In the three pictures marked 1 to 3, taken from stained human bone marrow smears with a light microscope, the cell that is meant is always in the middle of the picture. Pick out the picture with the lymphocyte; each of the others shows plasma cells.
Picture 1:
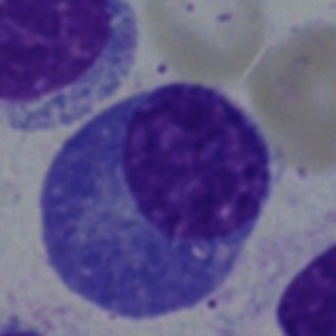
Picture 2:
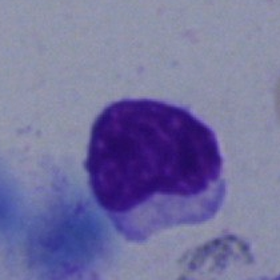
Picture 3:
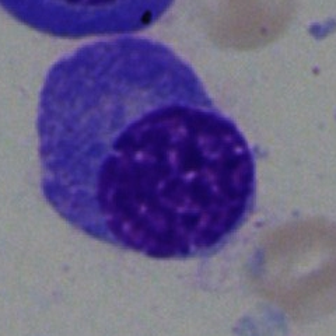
2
